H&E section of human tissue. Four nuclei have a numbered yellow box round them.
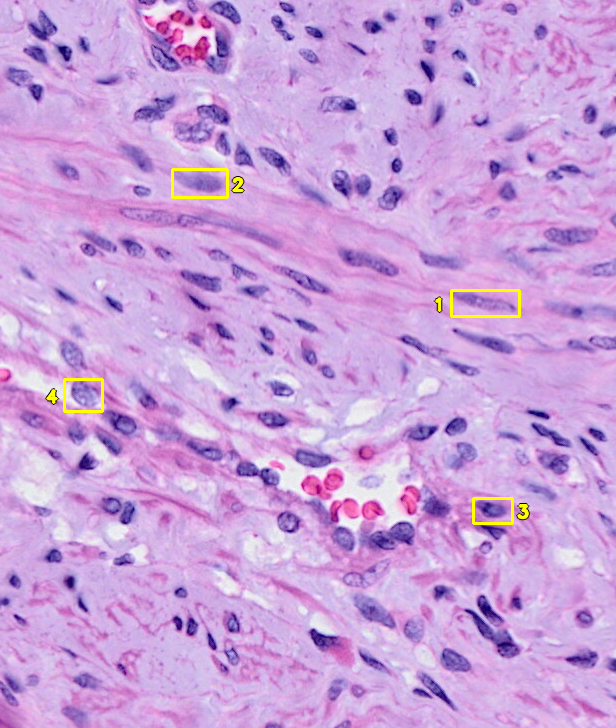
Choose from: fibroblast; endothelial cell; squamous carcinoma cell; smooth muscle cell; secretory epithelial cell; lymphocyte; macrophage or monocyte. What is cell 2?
smooth muscle cell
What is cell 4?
endothelial cell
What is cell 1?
smooth muscle cell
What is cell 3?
smooth muscle cell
